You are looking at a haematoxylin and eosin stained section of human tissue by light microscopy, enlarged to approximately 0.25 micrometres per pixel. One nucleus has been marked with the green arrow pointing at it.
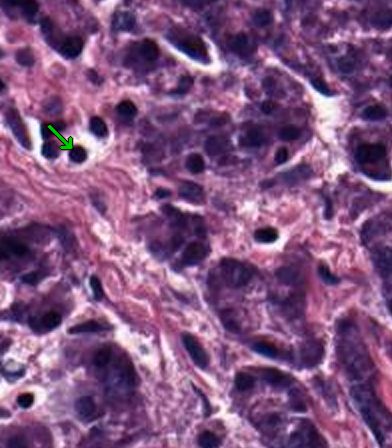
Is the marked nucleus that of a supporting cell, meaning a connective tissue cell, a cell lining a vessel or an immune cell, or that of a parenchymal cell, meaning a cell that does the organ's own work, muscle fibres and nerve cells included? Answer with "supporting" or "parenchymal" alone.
supporting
